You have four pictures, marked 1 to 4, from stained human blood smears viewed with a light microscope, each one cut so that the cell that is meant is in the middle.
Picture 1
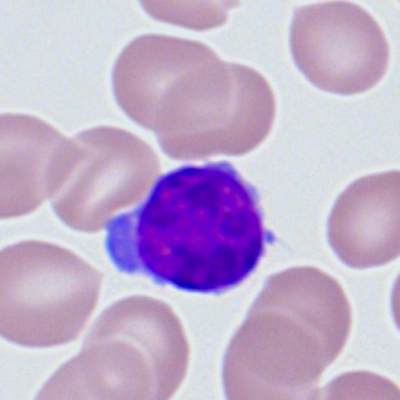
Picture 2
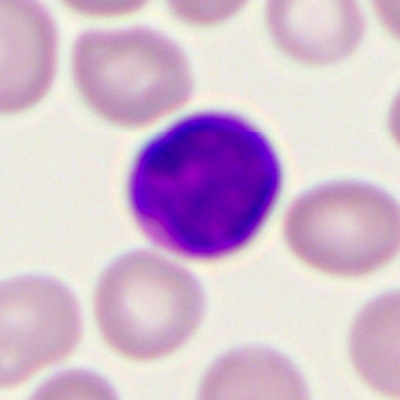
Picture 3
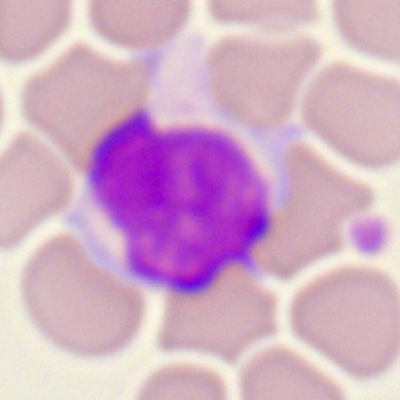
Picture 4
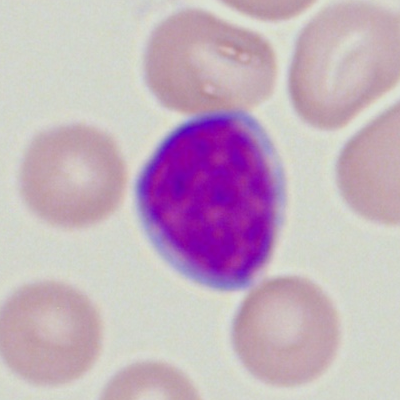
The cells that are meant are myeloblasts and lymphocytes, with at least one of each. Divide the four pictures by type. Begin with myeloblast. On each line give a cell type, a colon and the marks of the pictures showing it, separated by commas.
myeloblast: 2
lymphocyte: 1, 3, 4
